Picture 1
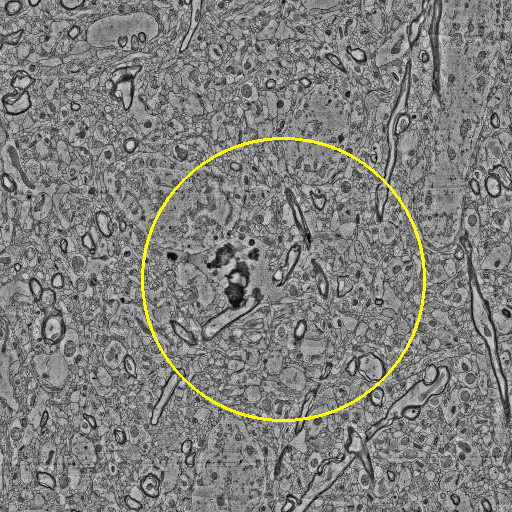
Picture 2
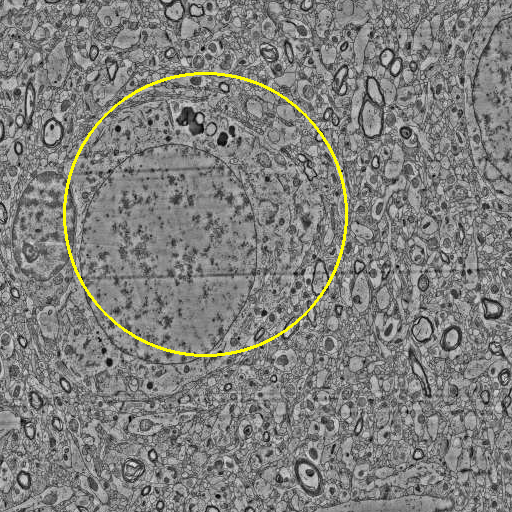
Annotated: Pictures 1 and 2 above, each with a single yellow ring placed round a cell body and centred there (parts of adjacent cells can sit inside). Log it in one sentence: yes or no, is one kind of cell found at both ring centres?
No, the ring centres of the two pictures hold cells of two kinds.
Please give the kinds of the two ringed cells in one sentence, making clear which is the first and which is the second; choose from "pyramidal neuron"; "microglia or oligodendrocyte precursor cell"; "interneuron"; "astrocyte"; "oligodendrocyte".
In the second picture the ringed cell is a pyramidal neuron; in the first it is an oligodendrocyte.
